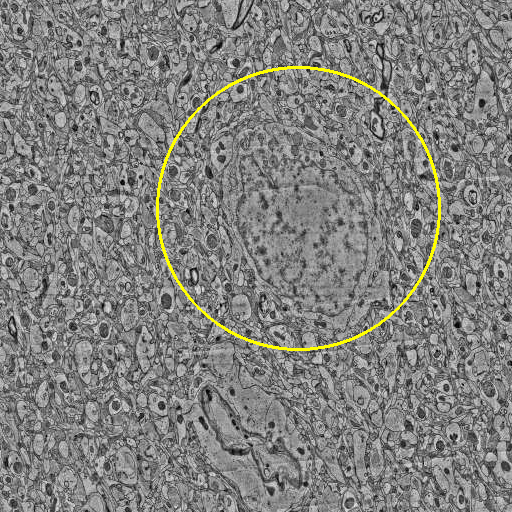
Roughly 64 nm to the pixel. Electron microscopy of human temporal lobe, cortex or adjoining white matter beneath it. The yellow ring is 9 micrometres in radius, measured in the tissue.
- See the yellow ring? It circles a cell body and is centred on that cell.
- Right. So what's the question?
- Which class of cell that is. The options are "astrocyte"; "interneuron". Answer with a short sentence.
The centre of the ring holds an interneuron.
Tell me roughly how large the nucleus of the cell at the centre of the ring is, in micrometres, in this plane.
The nucleus comes to roughly 11 by 8 micrometres in this plane.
